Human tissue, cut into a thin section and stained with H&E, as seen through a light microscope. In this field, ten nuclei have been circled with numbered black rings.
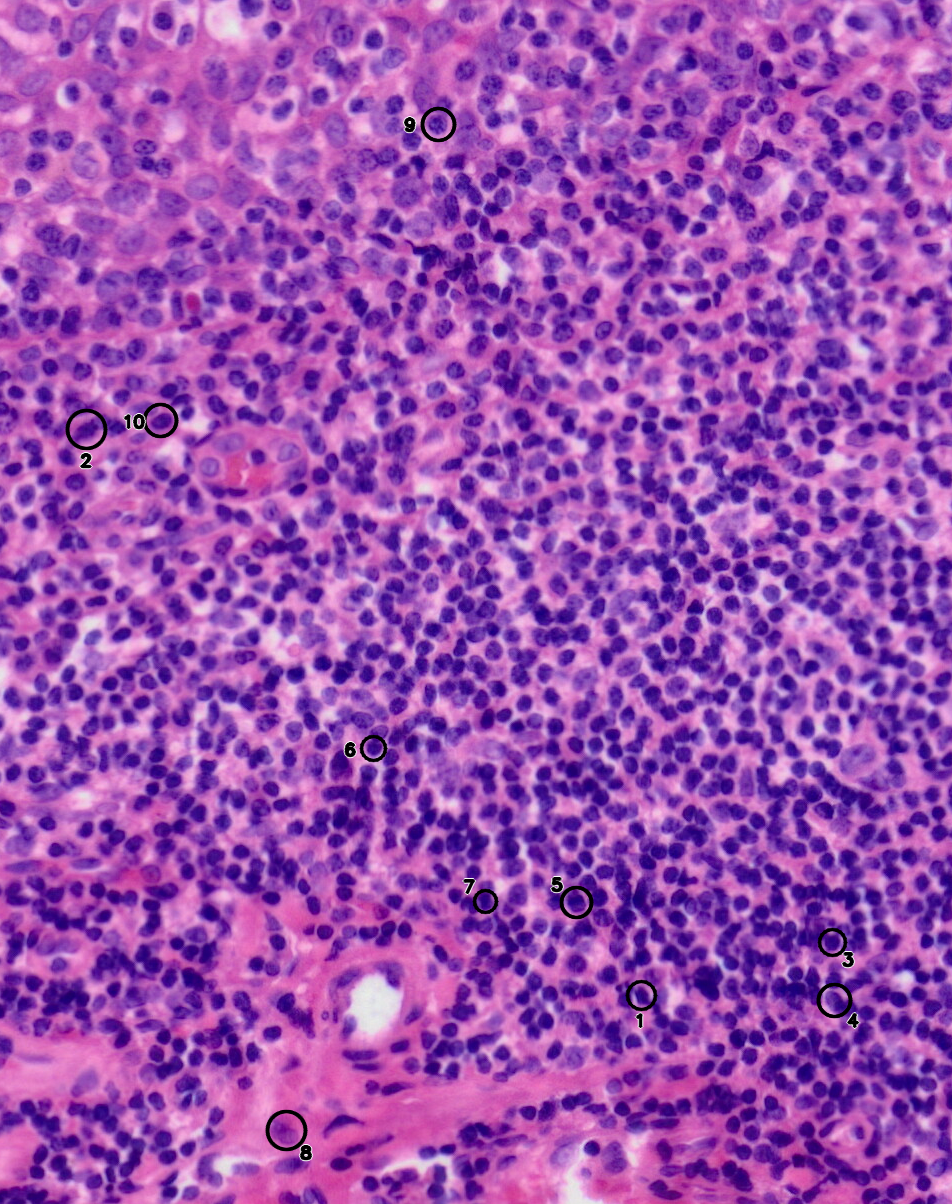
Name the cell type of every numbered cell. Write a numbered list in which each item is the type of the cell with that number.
1. small lymphocyte
2. plasma cell
3. small lymphocyte
4. small lymphocyte
5. small lymphocyte
6. small lymphocyte
7. small lymphocyte
8. endothelial cell
9. plasma cell
10. plasma cell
